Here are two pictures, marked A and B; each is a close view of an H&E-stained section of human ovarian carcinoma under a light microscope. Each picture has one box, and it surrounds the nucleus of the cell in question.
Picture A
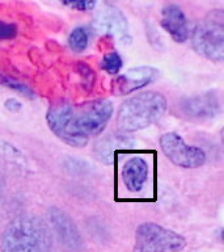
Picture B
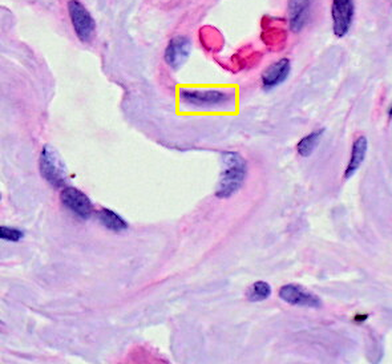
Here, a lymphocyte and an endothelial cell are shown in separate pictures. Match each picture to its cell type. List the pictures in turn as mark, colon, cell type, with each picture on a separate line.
A: lymphocyte
B: endothelial cell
